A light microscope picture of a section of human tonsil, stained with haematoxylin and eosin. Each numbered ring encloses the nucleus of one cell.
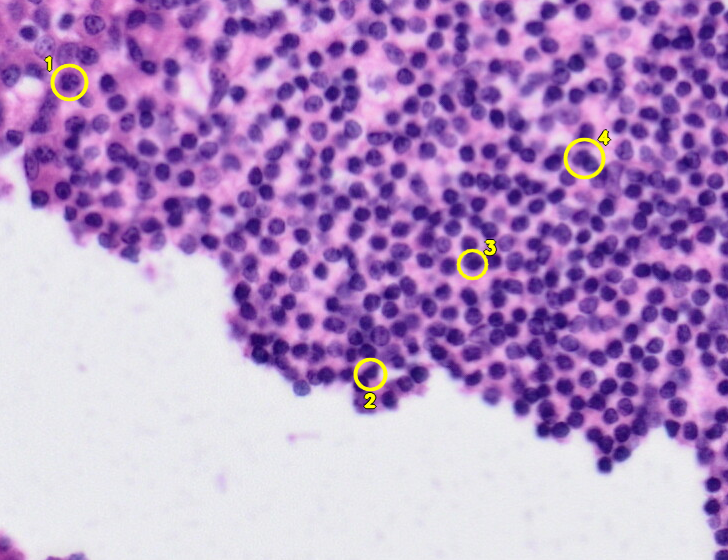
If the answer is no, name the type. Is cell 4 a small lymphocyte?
Yes.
